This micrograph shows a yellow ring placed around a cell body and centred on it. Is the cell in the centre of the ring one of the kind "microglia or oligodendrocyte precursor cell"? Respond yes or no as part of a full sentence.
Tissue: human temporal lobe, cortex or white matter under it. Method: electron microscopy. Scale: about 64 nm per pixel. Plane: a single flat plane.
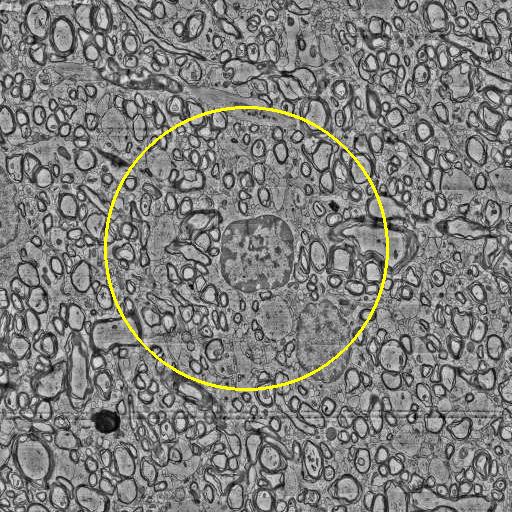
Yes, the cell in the centre of the ring within the picture is one of that kind.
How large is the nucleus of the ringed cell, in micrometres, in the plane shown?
In this plane, approximately 5 micrometres across.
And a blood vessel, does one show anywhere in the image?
No, none shows.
